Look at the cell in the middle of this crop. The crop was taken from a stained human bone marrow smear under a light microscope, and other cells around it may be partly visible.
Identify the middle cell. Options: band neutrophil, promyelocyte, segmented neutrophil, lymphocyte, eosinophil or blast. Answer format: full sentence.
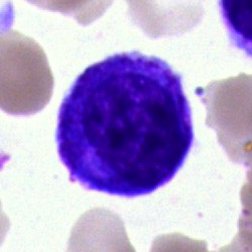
By classification, the middle cell of this crop is a promyelocyte.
